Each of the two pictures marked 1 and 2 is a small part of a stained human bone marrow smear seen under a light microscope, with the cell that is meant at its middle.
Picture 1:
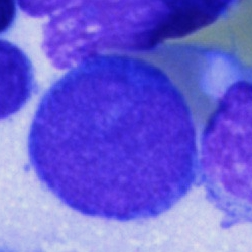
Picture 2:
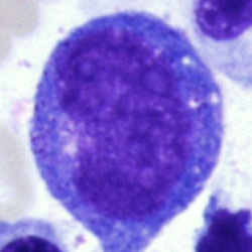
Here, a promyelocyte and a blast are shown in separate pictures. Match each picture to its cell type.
1: blast
2: promyelocyte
